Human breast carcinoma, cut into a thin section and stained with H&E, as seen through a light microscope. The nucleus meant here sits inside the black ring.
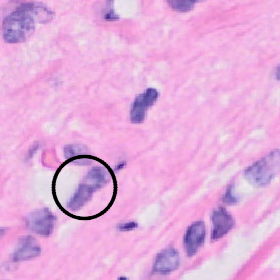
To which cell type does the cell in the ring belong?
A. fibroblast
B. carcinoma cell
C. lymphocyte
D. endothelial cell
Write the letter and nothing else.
D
